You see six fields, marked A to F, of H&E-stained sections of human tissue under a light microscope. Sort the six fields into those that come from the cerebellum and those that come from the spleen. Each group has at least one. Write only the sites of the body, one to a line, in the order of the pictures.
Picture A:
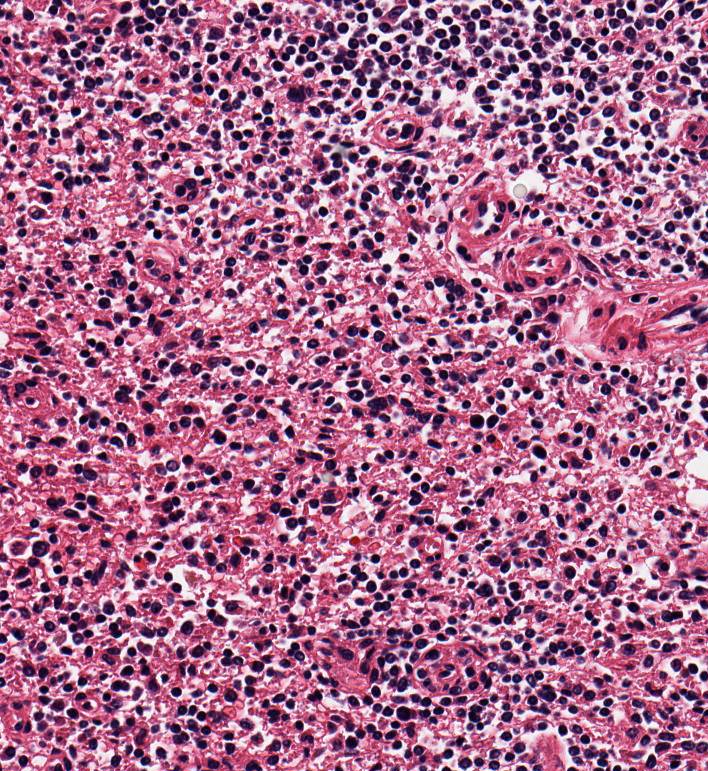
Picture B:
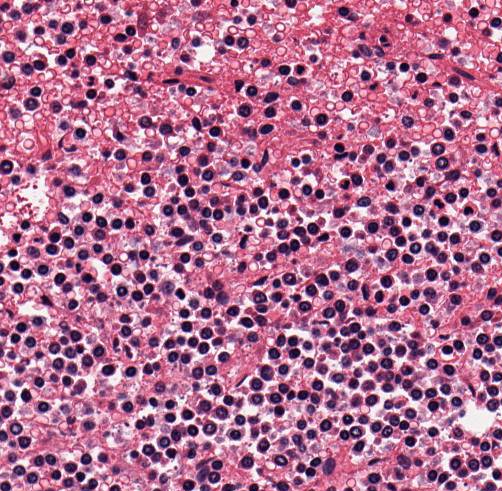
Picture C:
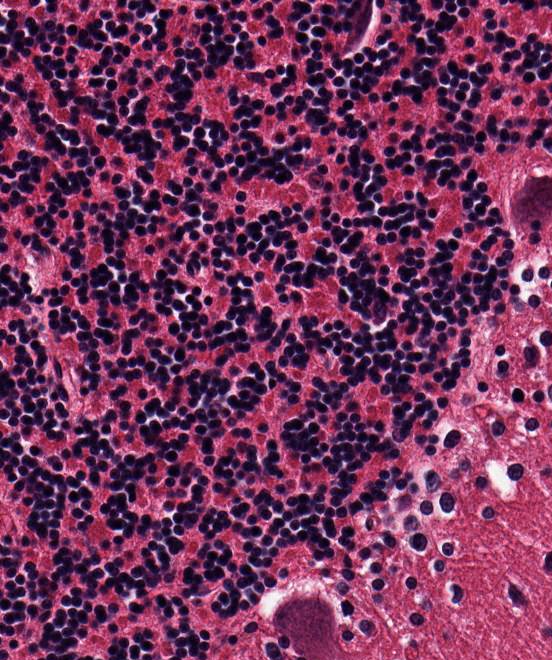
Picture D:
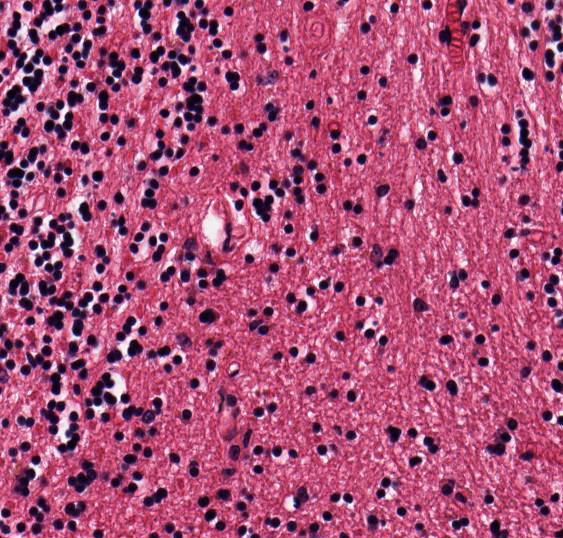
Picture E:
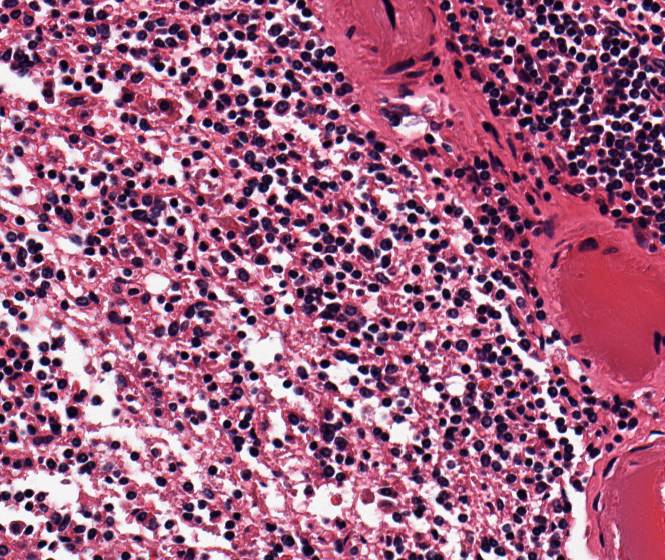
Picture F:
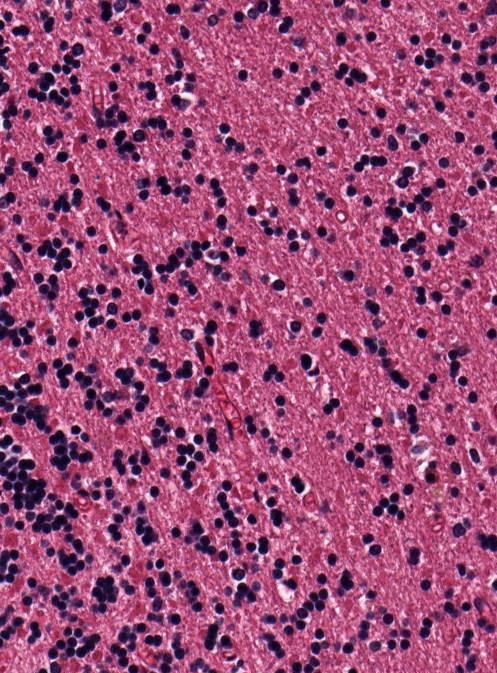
spleen
spleen
cerebellum
cerebellum
spleen
cerebellum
